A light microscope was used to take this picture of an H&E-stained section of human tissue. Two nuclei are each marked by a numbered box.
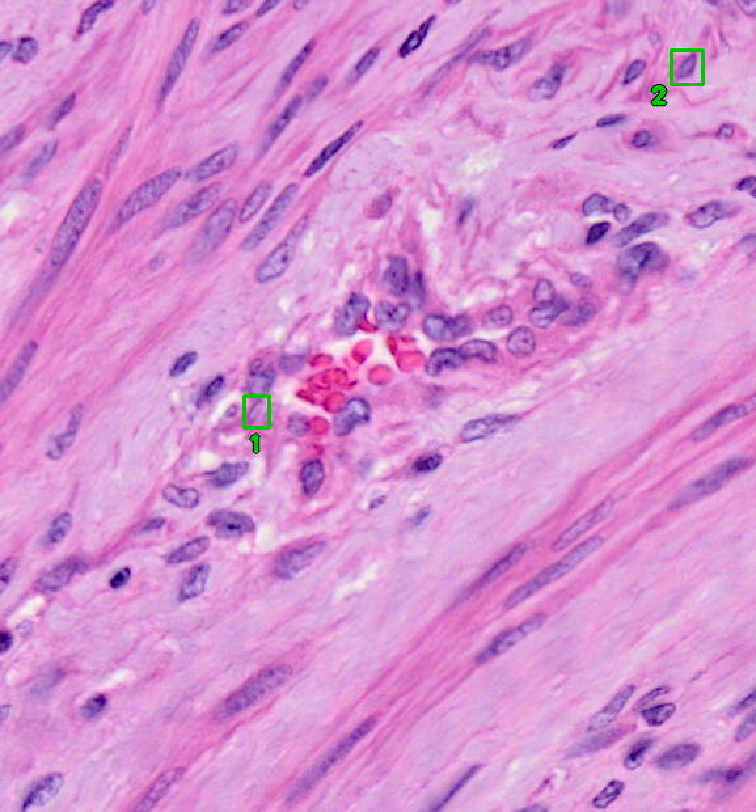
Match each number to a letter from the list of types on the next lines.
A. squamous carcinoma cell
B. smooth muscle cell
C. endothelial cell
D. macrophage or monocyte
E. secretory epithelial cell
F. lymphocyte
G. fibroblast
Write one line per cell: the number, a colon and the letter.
1: C
2: B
